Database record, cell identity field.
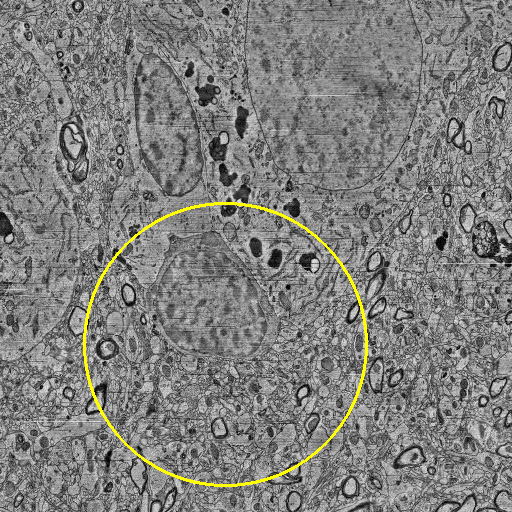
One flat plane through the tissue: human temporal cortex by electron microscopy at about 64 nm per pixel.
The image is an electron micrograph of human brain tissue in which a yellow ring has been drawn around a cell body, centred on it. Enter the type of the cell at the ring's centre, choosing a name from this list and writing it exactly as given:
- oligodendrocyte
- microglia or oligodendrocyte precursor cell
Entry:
oligodendrocyte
